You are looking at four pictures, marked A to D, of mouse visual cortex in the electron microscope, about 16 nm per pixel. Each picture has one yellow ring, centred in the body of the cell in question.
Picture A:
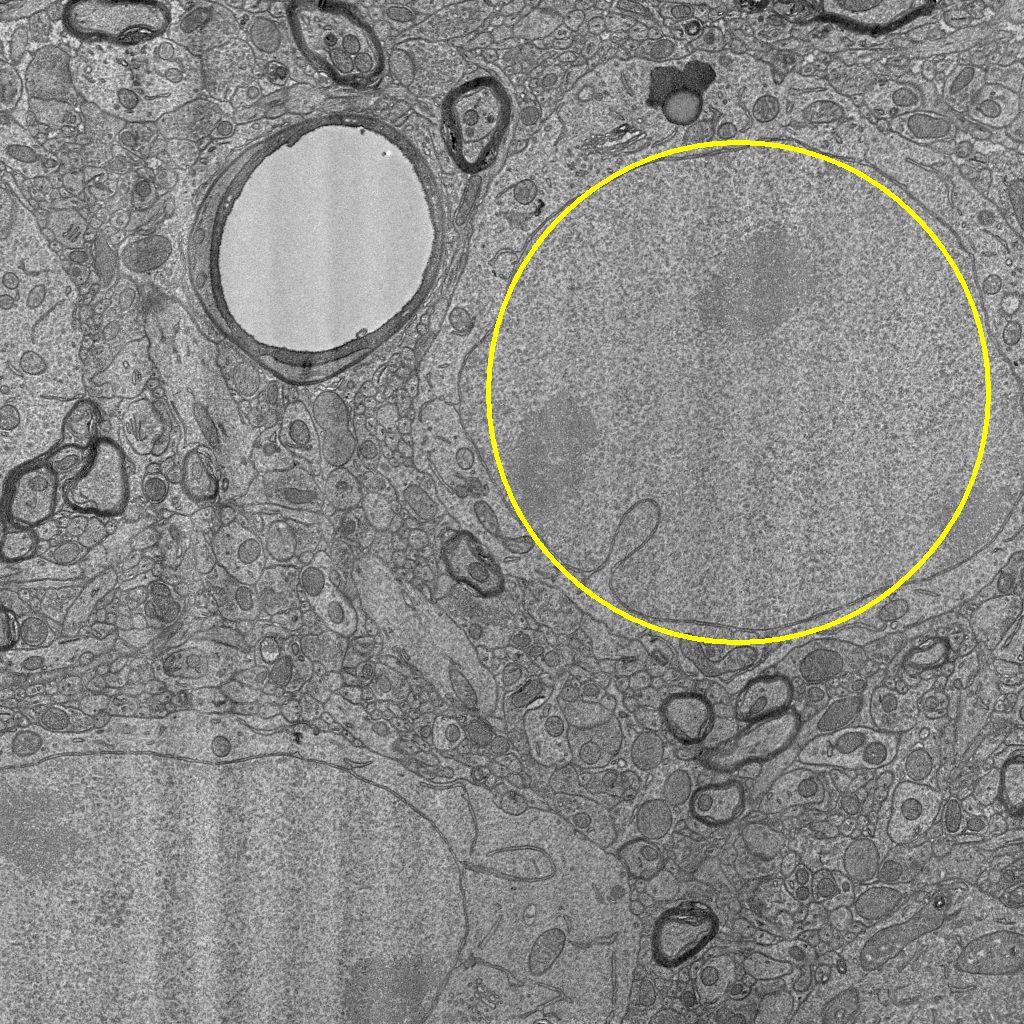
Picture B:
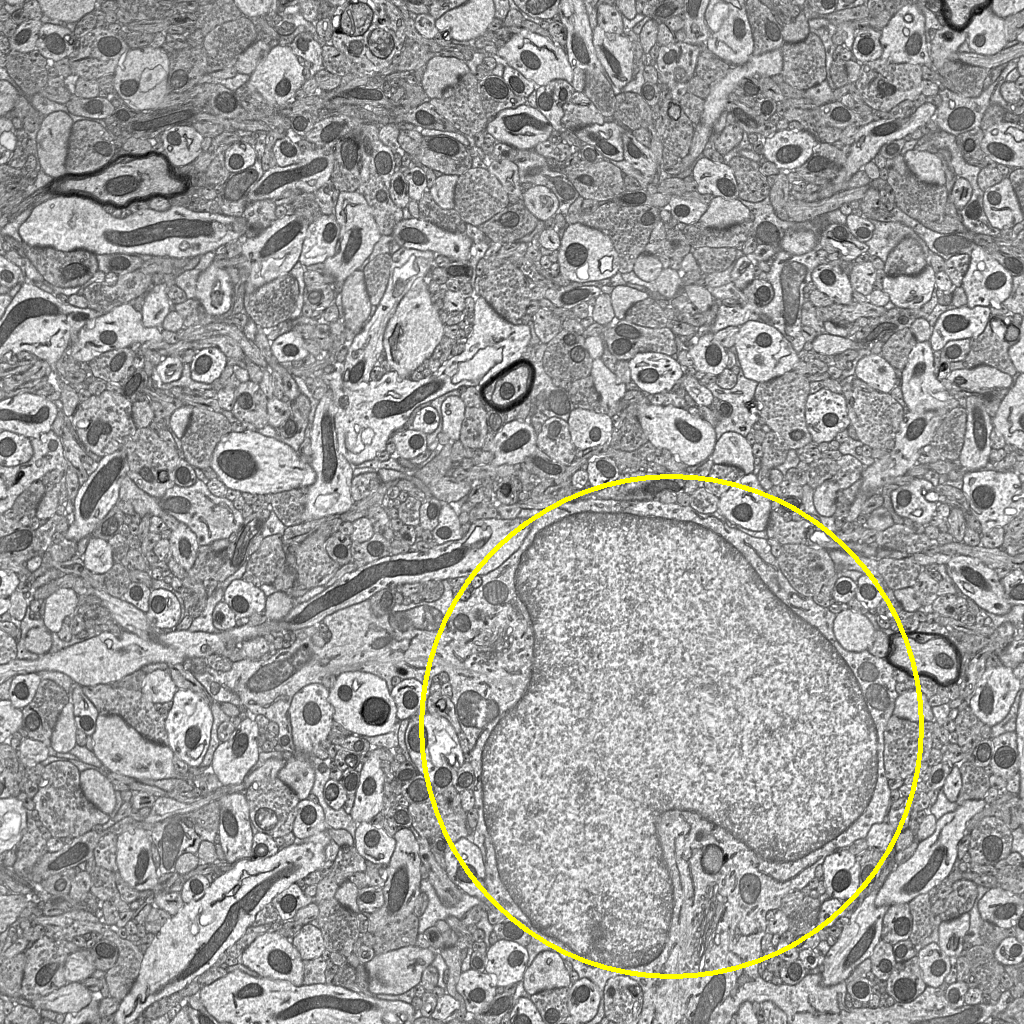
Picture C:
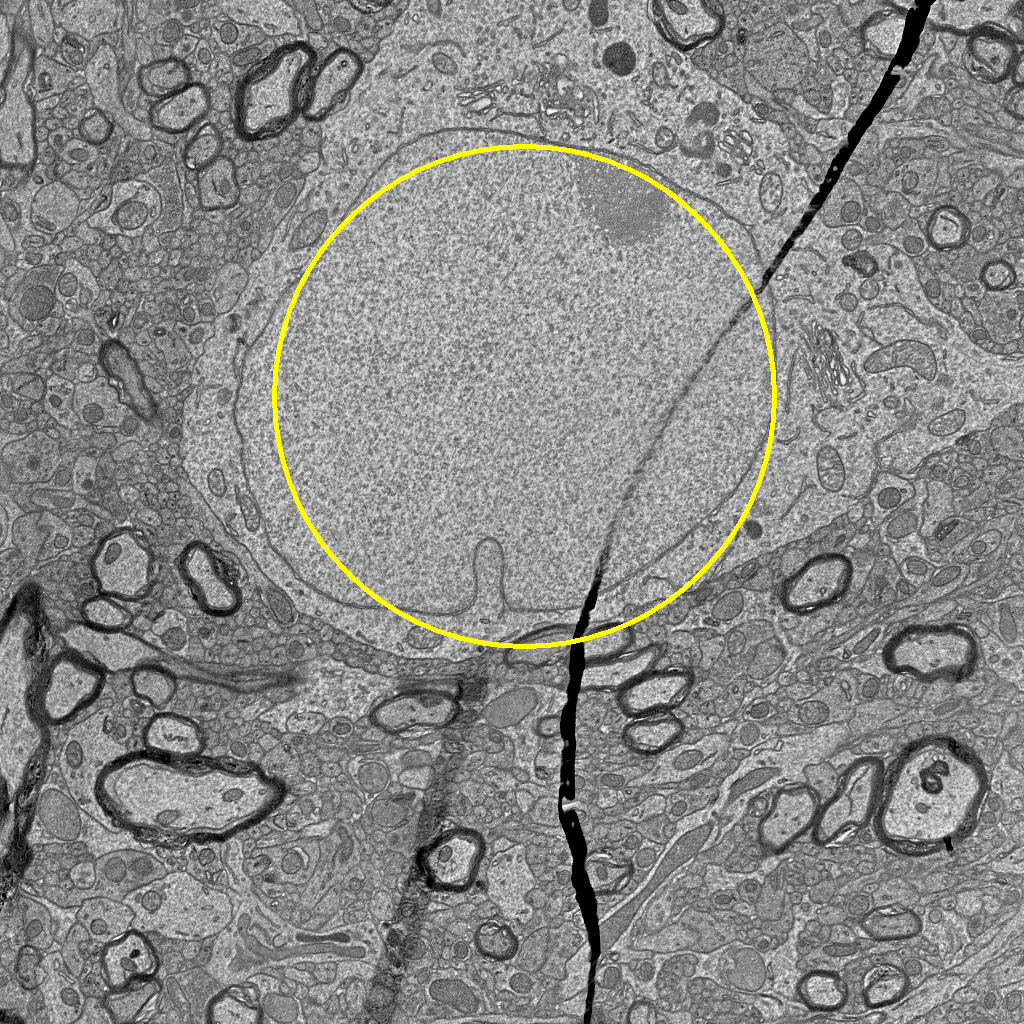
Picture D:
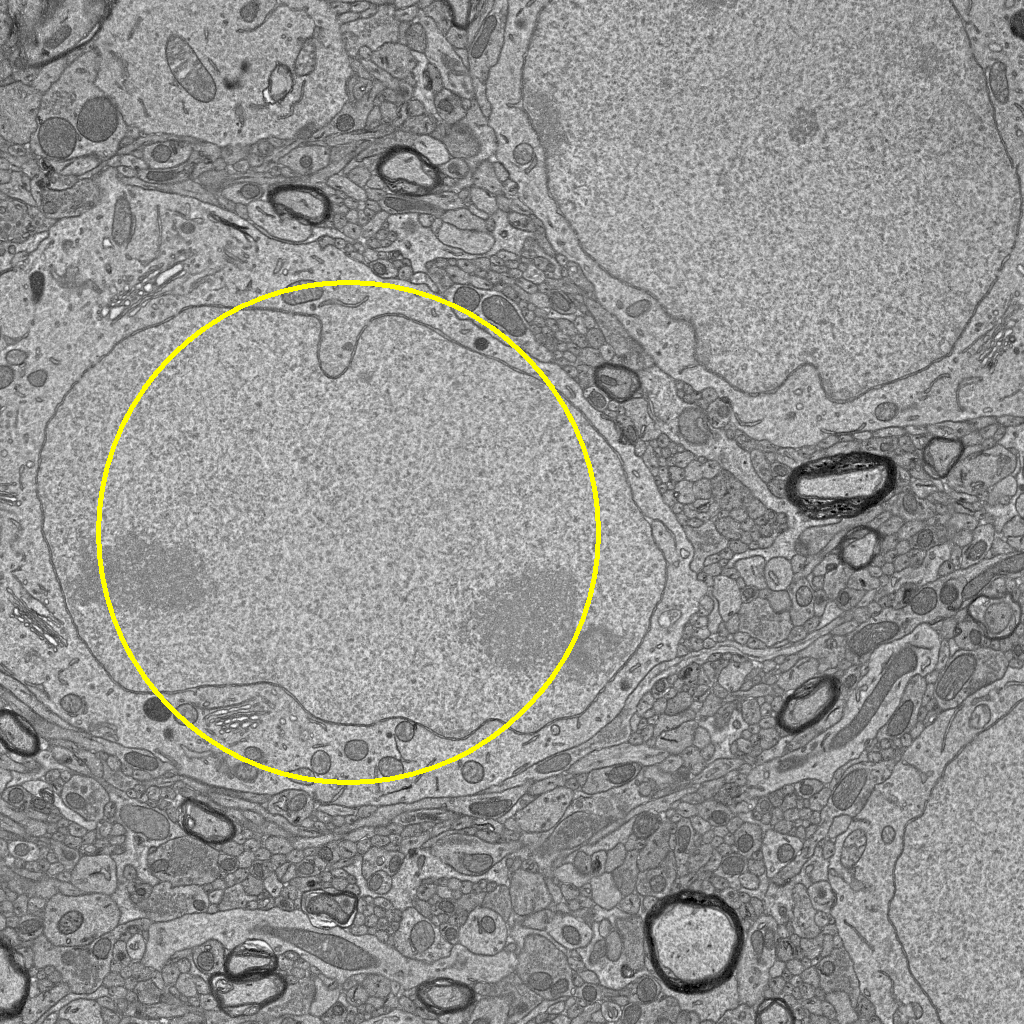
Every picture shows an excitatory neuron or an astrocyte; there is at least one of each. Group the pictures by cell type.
Pictures A, C and D show excitatory neurons, while picture B shows an astrocyte.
